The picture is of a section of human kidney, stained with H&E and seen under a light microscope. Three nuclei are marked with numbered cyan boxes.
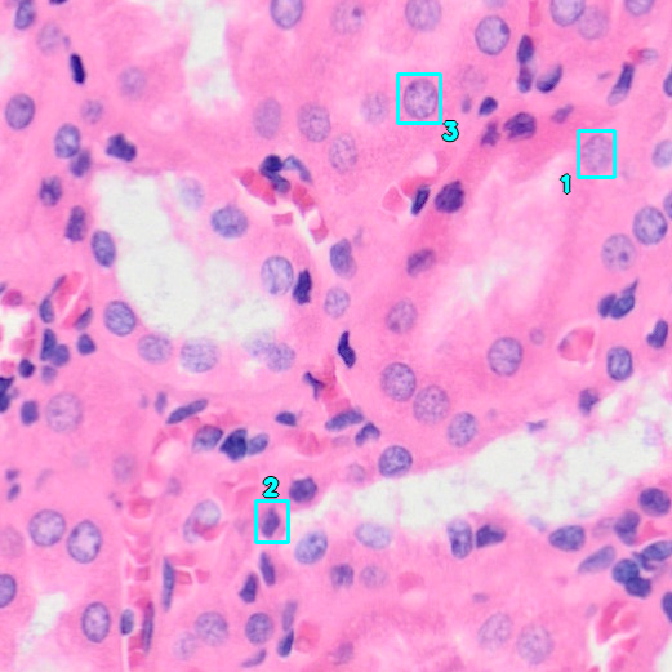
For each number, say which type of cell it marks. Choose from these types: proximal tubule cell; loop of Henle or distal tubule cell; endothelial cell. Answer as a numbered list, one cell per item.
1. proximal tubule cell
2. loop of Henle or distal tubule cell
3. proximal tubule cell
